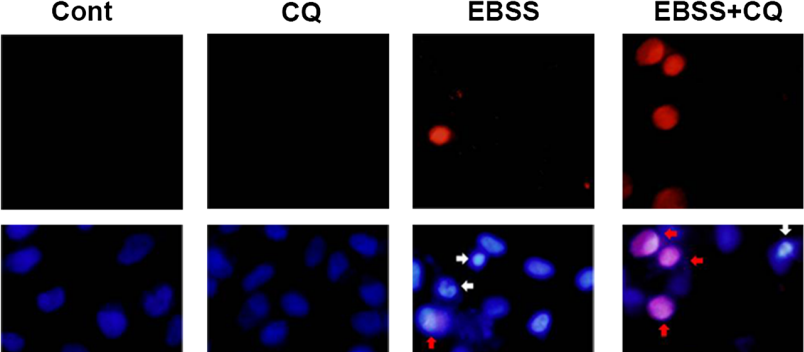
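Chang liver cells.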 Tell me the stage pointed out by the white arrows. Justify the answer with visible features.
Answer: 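Apoptotic. The white arrows point to small nuclei that glow brighter blue than their neighbours. These nuclei show little or no pink overlay in the merged images.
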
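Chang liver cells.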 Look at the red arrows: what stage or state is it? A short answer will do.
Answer: Necrotic.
